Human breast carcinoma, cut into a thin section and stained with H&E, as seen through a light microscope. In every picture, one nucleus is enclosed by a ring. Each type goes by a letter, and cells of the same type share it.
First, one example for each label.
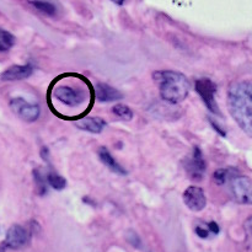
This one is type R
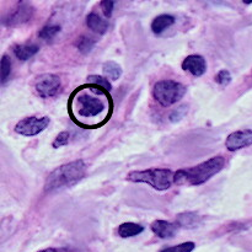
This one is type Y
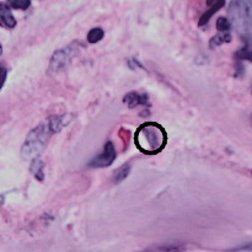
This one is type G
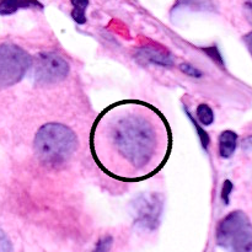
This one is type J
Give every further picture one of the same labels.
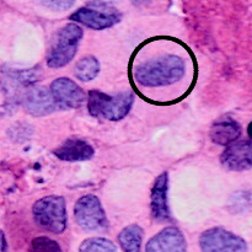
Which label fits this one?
type J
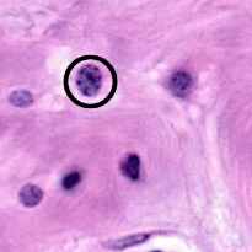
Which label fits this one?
type R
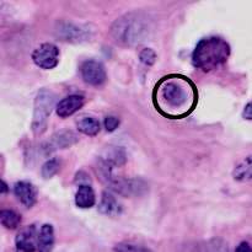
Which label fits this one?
type R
